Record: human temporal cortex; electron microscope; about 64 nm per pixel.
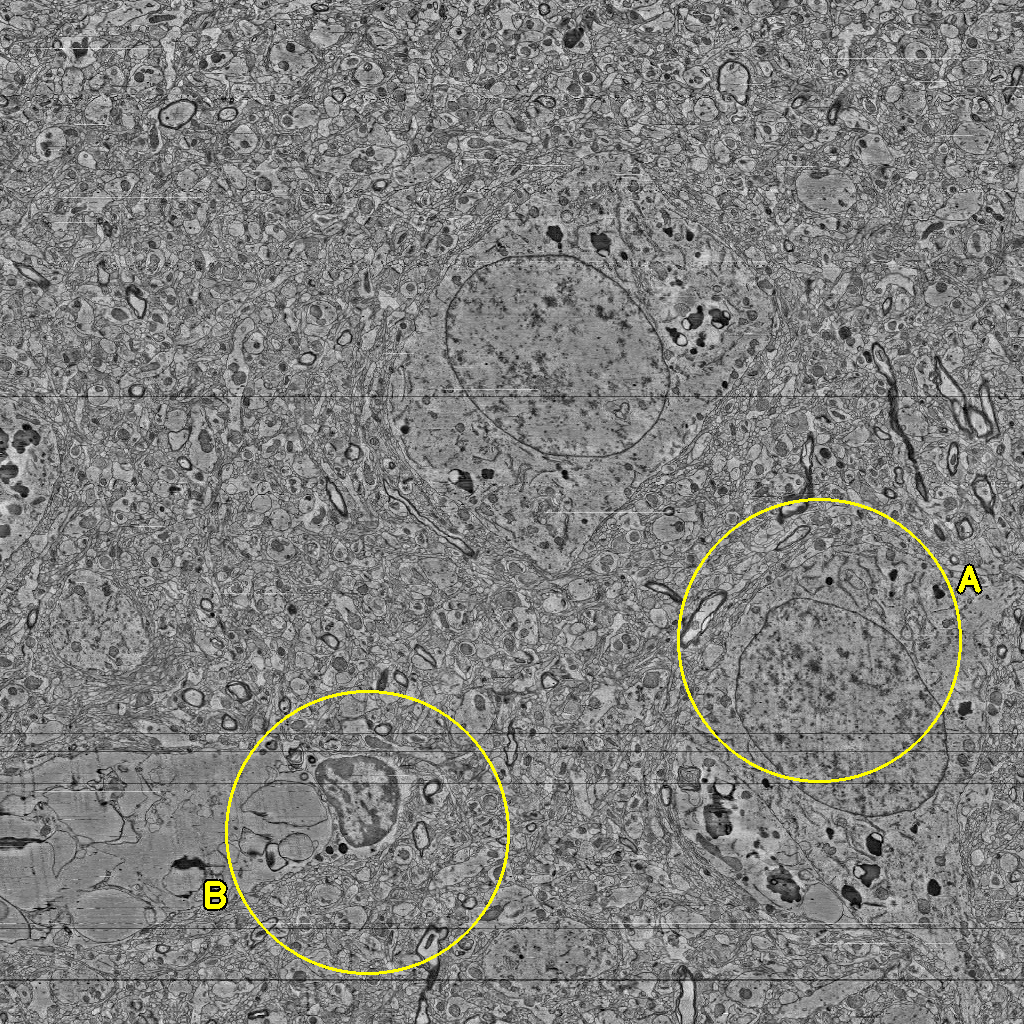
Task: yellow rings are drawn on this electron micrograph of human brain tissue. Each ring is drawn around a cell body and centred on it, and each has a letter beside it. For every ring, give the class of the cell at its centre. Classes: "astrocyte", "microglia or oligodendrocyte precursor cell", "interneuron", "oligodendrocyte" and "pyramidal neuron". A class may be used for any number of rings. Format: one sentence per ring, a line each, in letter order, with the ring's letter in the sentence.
The cell ringed as A is a pyramidal neuron.
The cell ringed as B is a microglial cell or oligodendrocyte precursor cell.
